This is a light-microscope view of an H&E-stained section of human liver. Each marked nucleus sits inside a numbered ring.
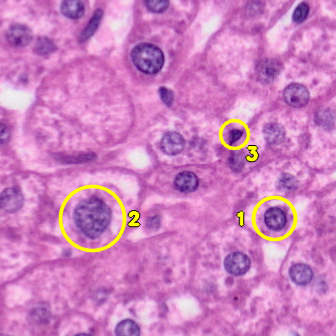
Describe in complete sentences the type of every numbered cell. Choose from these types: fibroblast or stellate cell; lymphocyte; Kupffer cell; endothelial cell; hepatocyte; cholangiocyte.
Cells 1 and 2 are hepatocytes. Cell 3 is a fibroblast or stellate cell.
